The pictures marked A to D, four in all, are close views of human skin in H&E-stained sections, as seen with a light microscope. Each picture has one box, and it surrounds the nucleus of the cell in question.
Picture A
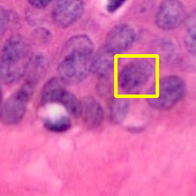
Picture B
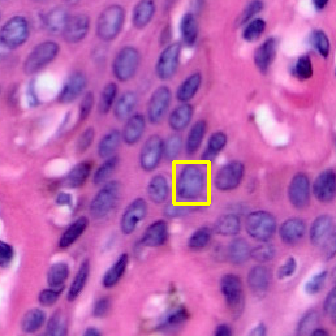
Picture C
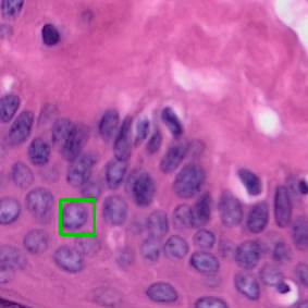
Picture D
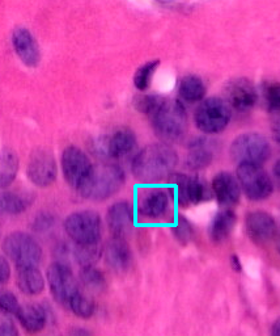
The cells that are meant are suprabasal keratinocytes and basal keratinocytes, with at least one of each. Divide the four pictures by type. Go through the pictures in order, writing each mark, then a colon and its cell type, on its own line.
A: basal keratinocyte
B: basal keratinocyte
C: suprabasal keratinocyte
D: basal keratinocyte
